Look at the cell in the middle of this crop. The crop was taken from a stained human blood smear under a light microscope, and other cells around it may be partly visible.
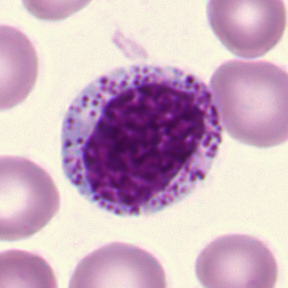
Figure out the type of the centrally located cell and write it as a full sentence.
The cell of interest, located centrally, is a metamyelocyte.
